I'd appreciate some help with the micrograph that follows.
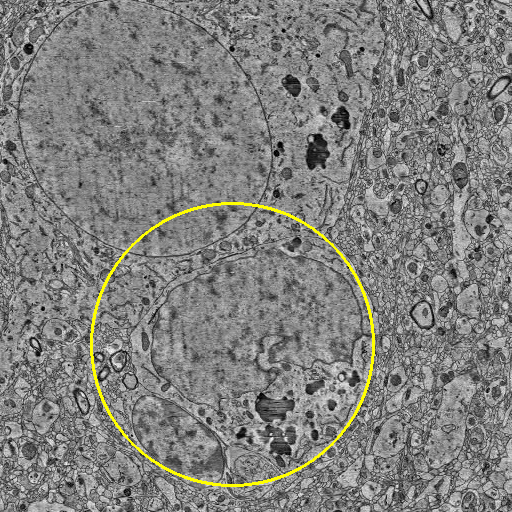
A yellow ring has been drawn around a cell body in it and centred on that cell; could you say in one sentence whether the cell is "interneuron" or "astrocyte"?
It is an interneuron at the centre of the ring.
